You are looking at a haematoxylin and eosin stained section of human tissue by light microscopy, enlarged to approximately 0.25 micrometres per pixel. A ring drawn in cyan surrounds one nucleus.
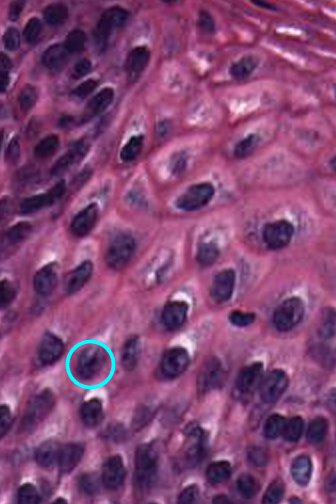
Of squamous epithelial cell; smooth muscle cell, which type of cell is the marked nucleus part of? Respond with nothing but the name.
squamous epithelial cell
